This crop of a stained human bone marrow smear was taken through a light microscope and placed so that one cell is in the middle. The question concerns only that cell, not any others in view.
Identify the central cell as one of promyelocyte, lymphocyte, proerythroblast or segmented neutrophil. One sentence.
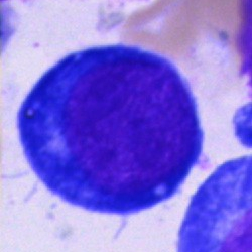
The central cell shown in this smear crop is a proerythroblast.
